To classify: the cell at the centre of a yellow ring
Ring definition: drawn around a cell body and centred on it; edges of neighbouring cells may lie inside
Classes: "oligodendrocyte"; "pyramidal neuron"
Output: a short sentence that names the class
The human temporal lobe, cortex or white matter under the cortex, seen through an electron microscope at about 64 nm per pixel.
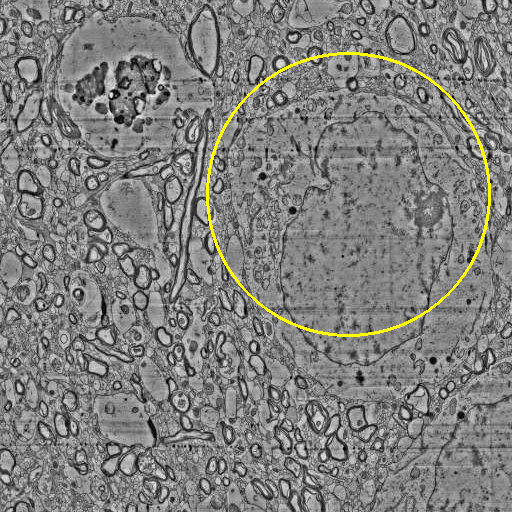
The ringed cell is a pyramidal neuron.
